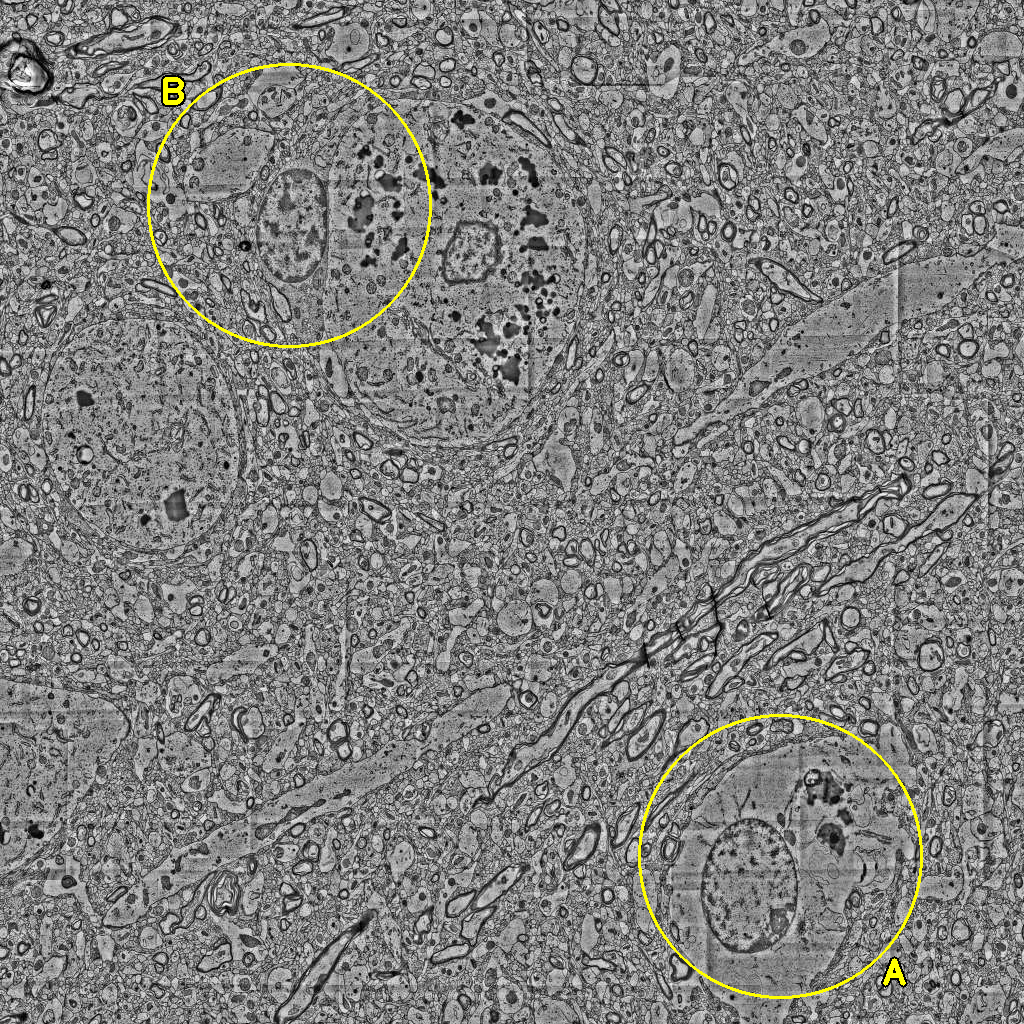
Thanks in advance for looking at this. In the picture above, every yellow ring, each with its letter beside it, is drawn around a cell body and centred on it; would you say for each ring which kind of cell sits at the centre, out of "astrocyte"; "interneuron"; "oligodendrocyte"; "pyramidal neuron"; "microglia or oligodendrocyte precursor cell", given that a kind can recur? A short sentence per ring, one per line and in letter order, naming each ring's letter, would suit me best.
The cell body in ring A belongs to an astrocyte.
The cell body in ring B belongs to an oligodendrocyte.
